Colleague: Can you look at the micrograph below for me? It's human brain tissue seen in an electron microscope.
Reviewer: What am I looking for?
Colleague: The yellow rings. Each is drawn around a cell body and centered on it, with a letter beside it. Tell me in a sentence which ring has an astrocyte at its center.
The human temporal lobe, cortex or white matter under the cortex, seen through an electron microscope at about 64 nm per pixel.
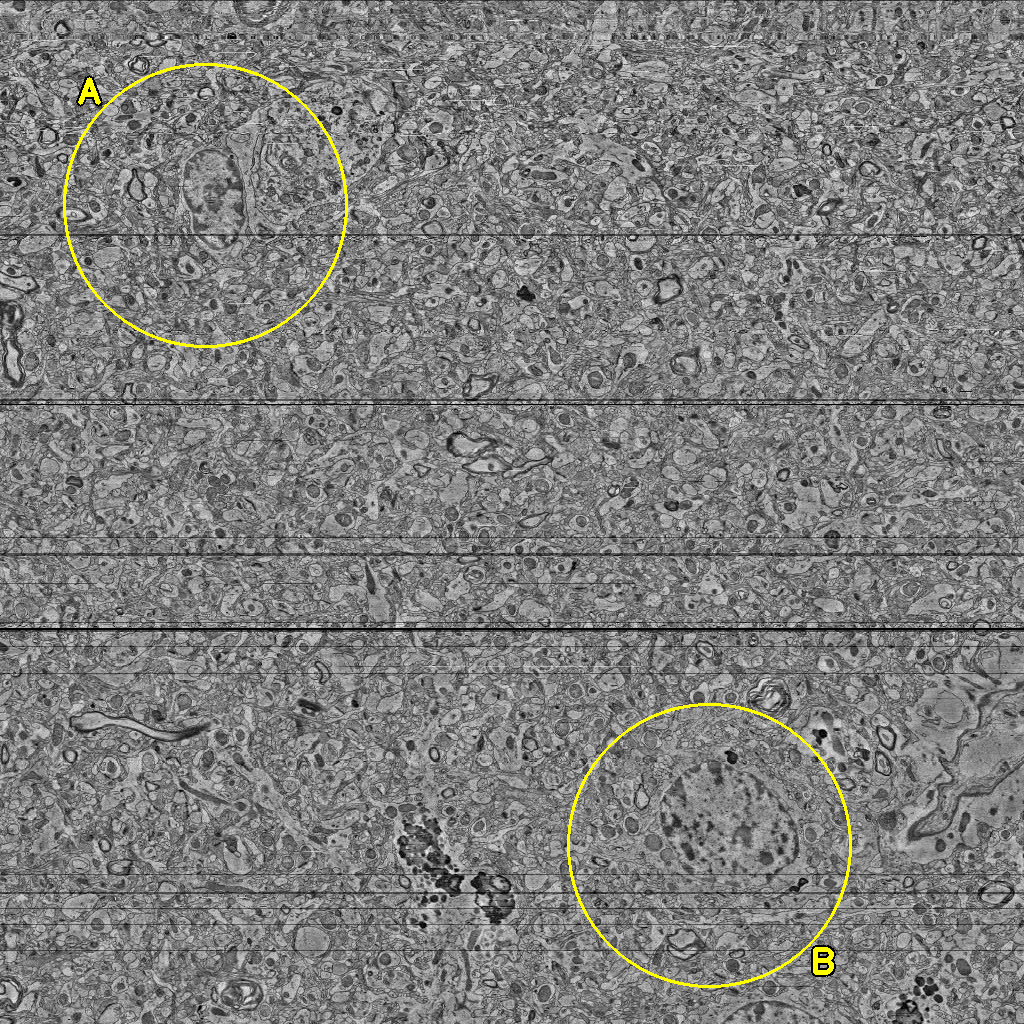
It's the cell in ring B.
